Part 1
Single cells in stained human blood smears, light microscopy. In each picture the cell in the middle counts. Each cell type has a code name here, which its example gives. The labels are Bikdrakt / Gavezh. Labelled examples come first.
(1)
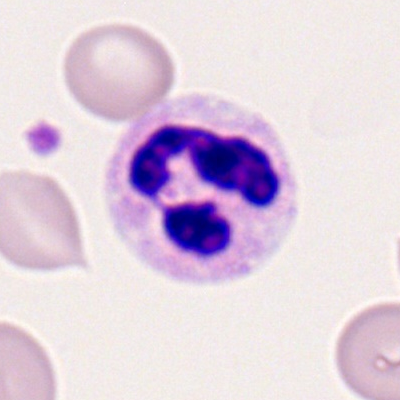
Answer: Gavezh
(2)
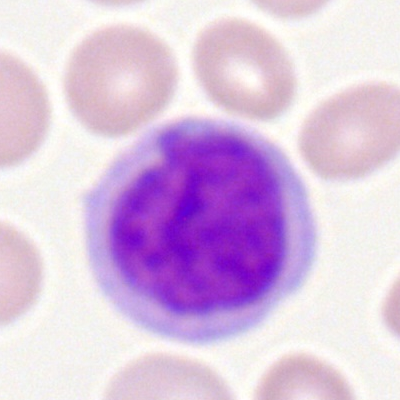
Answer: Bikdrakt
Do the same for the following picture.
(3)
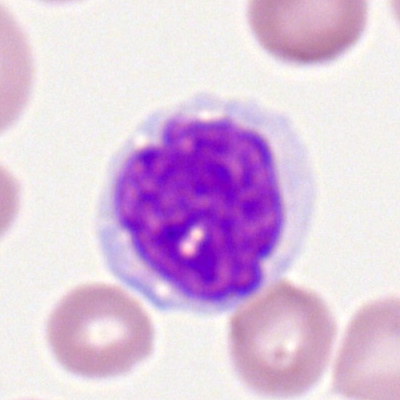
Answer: Bikdrakt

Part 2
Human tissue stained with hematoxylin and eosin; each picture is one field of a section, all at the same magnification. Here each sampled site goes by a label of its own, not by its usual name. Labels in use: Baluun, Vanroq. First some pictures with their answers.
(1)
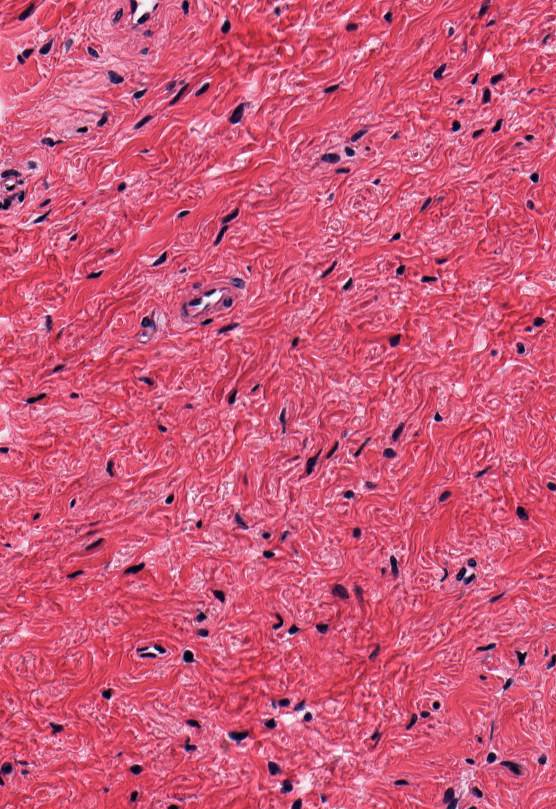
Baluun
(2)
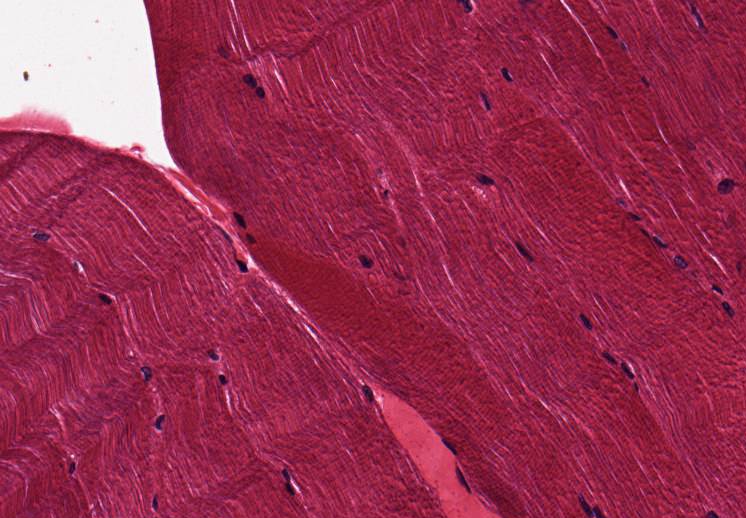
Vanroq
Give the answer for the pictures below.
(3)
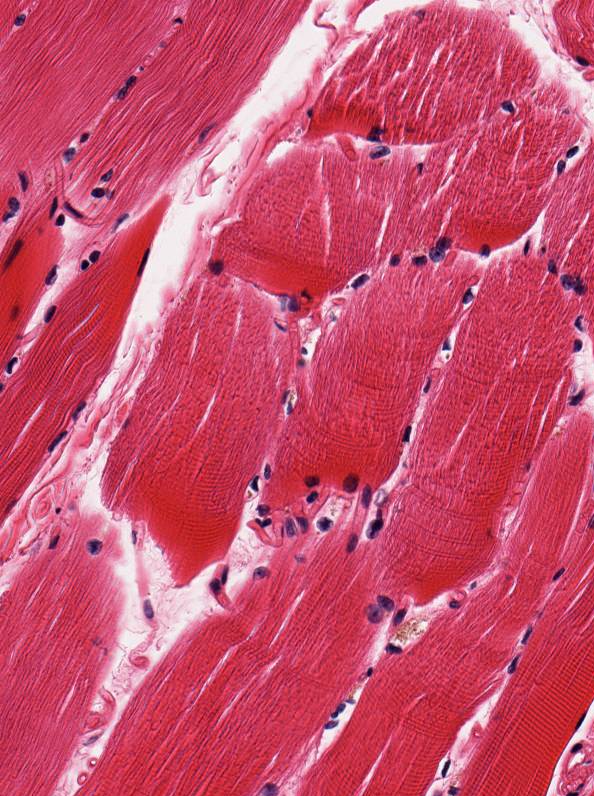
Vanroq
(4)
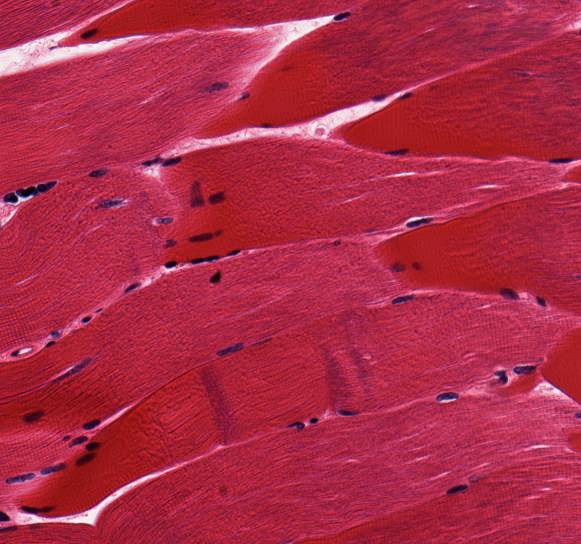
Vanroq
